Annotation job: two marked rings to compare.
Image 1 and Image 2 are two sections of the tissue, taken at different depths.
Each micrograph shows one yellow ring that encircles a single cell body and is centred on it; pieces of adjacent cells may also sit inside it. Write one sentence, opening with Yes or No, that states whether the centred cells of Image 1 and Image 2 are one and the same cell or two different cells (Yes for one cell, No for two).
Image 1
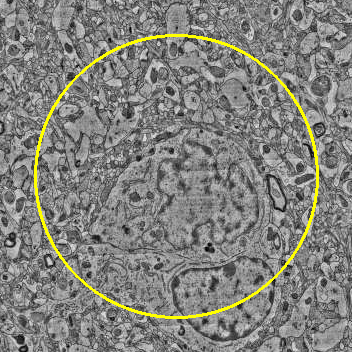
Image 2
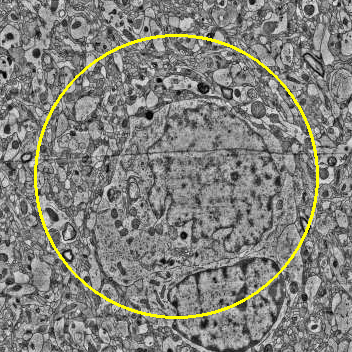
Yes, the two rings encircle a single cell, not a pair.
